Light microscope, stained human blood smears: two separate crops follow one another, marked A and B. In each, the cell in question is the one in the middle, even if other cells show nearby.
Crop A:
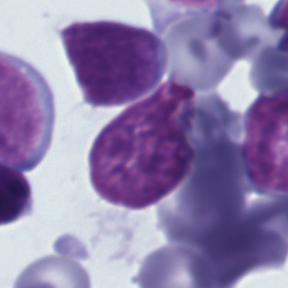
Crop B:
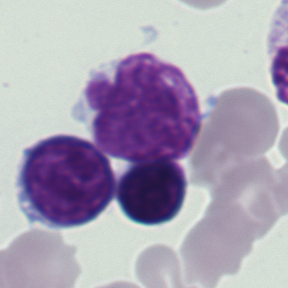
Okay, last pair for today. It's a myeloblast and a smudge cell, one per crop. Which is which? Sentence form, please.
Crop A has been identified as a smudge cell, and crop B has been identified as a myeloblast.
